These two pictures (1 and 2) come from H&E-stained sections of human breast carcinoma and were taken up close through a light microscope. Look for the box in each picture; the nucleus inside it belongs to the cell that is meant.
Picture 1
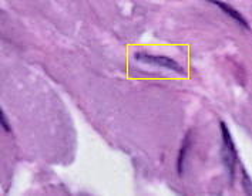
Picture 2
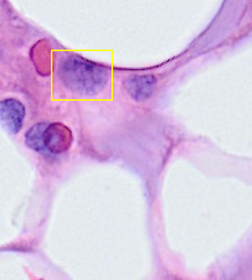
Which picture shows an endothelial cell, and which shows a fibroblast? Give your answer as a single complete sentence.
In picture 1 the cell is a fibroblast; in picture 2, an endothelial cell.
